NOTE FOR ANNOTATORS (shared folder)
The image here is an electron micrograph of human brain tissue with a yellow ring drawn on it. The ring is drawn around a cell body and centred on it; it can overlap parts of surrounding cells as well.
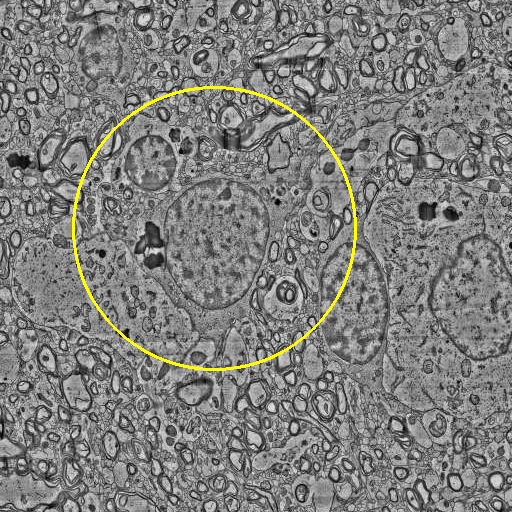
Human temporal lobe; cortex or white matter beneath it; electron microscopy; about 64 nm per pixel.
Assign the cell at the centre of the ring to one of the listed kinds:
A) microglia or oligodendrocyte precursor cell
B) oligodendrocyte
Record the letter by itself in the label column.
B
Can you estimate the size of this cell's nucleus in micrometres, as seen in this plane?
Approximately 8 micrometers across in this plane.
